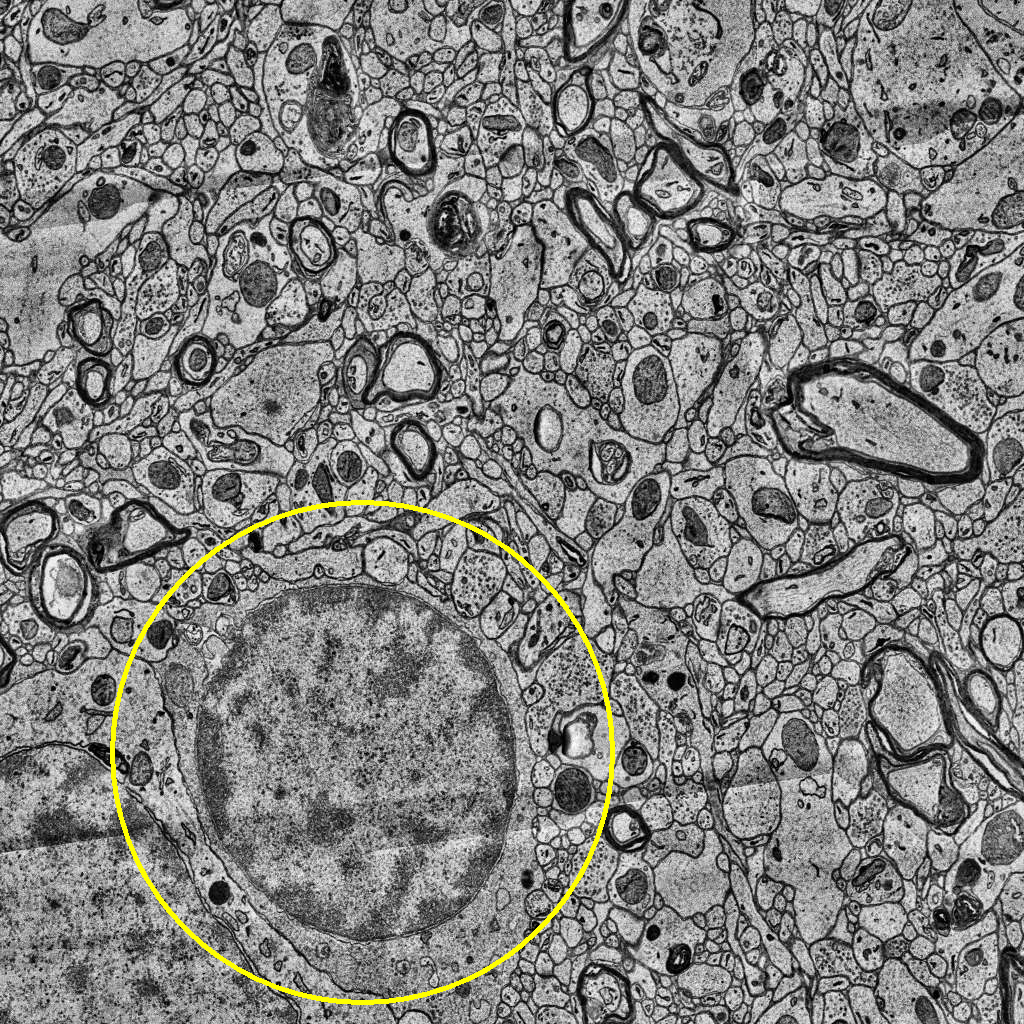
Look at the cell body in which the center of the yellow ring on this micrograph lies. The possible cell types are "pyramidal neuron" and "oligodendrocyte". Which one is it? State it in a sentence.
The cell at the middle of the ring is an oligodendrocyte.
